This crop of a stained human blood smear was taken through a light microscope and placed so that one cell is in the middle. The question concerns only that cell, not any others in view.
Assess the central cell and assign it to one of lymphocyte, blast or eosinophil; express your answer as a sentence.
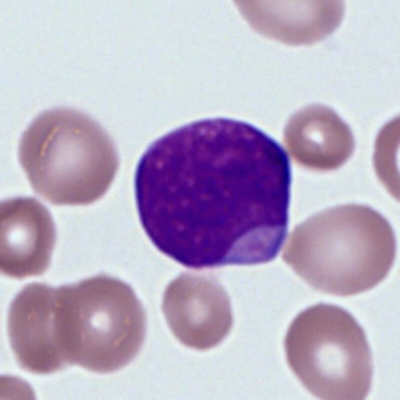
The identification for the central cell is a blast.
